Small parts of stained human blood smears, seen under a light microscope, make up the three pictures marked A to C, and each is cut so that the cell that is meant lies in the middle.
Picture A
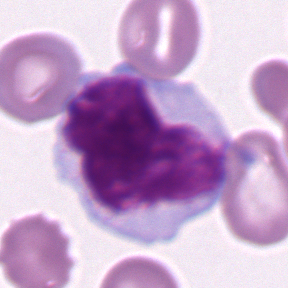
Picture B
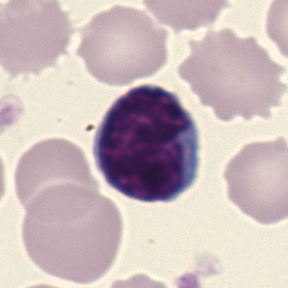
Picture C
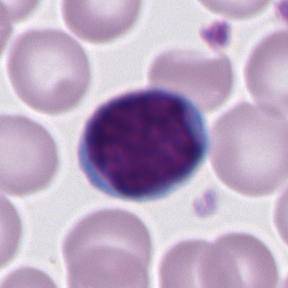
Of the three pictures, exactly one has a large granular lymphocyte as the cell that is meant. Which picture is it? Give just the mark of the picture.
A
